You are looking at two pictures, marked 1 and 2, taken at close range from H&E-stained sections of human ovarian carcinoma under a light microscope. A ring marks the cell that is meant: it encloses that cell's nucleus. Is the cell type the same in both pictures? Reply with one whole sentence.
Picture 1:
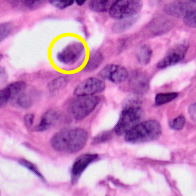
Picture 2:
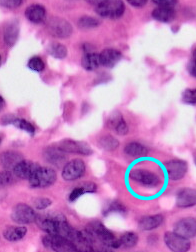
Yes, both cells are carcinoma cells.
